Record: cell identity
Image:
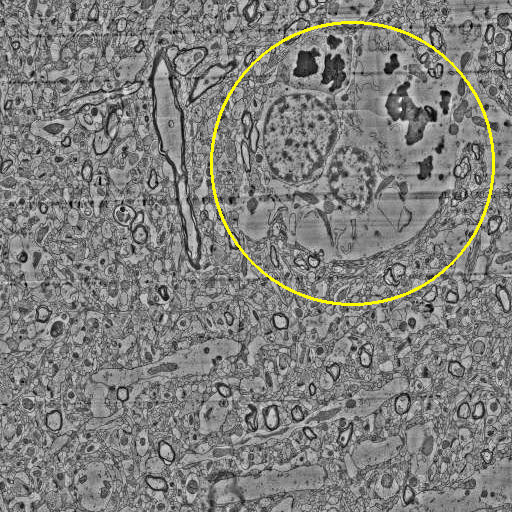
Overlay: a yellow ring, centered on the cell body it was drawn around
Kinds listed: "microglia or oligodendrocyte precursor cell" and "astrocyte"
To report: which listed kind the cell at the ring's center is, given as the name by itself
astrocyte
